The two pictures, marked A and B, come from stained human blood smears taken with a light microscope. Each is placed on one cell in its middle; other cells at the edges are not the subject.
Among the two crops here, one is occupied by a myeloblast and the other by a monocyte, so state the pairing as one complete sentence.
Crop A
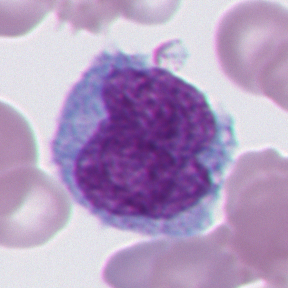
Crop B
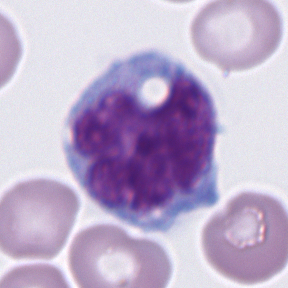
The correct labels are a monocyte for crop A and a myeloblast for crop B.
